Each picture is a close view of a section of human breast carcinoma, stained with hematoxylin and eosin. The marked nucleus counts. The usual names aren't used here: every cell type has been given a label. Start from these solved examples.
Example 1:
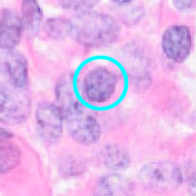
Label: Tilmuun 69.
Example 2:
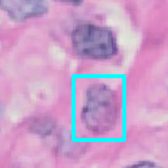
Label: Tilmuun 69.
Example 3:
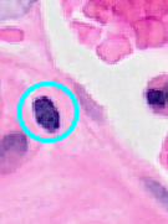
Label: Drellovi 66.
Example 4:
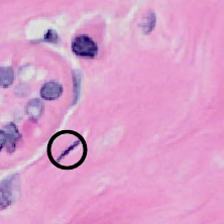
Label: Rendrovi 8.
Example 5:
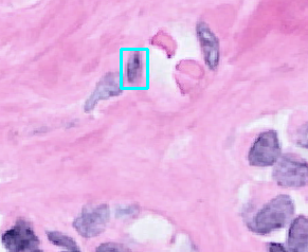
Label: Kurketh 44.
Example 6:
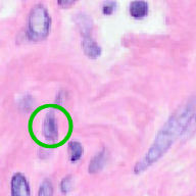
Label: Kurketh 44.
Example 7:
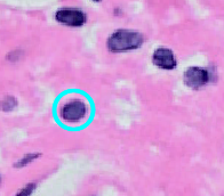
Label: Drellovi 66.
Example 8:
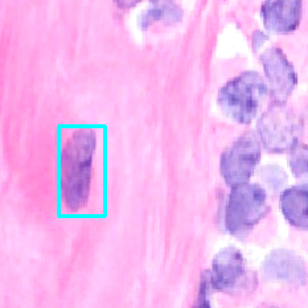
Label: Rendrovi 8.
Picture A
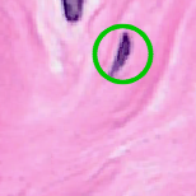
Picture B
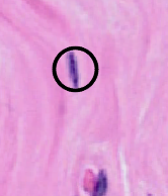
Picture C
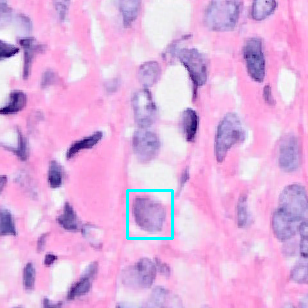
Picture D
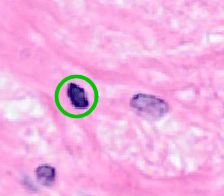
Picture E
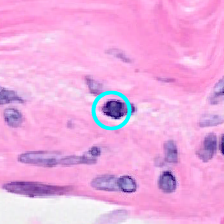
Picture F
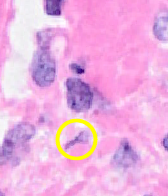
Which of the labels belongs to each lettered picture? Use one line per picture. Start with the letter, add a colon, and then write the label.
A: Rendrovi 8.
B: Rendrovi 8.
C: Tilmuun 69.
D: Drellovi 66.
E: Drellovi 66.
F: Rendrovi 8.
